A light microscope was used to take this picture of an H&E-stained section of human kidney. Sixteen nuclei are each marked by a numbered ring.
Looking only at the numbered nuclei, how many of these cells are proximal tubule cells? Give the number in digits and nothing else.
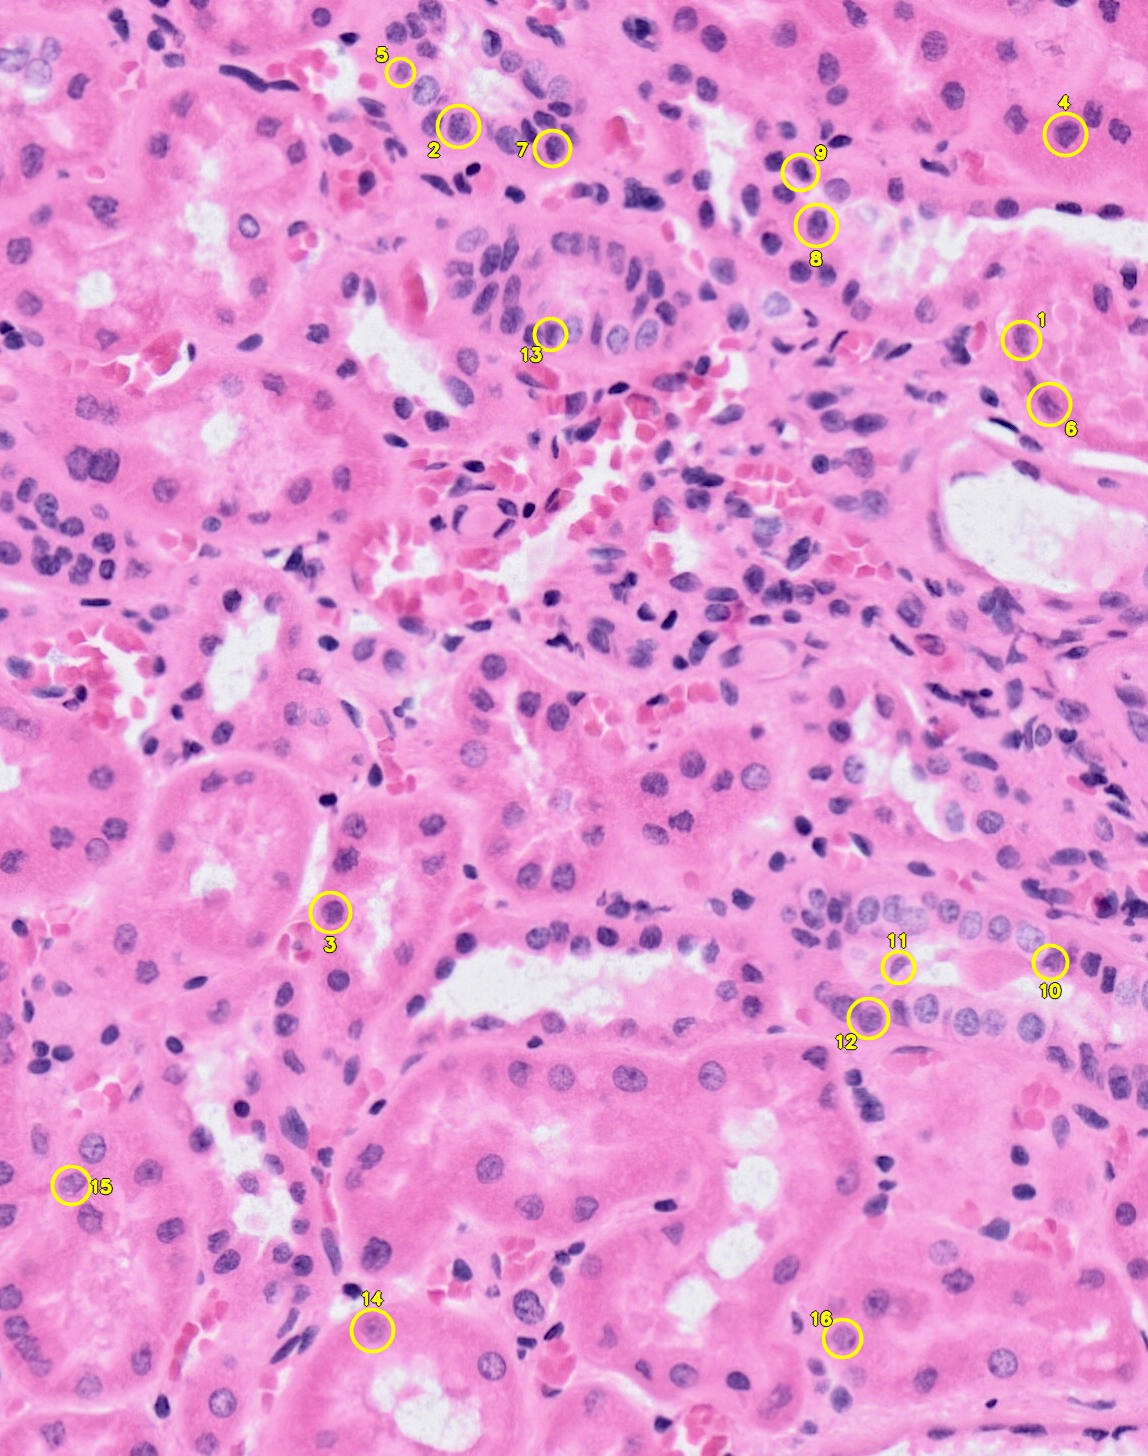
7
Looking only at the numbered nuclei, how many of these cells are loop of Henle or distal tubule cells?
2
